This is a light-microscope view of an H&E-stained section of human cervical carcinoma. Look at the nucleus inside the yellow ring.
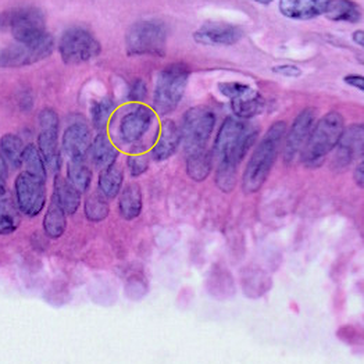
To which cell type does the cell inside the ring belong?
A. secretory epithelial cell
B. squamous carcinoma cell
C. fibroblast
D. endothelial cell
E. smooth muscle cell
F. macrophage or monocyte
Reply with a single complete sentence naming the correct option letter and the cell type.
Option A is right, and the cell inside the ring is a secretory epithelial cell.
